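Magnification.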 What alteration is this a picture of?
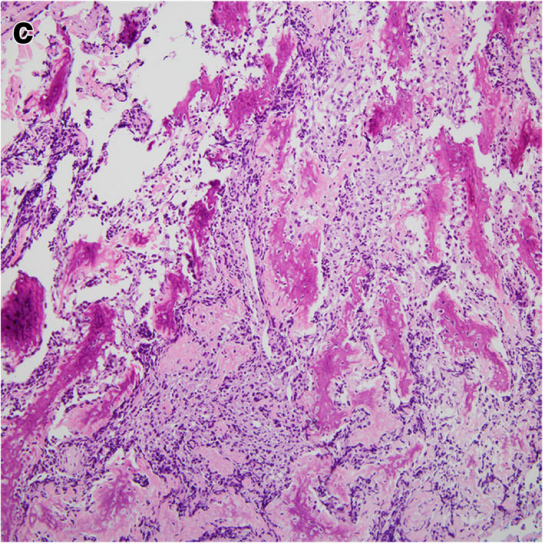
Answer: Osteosarcoma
